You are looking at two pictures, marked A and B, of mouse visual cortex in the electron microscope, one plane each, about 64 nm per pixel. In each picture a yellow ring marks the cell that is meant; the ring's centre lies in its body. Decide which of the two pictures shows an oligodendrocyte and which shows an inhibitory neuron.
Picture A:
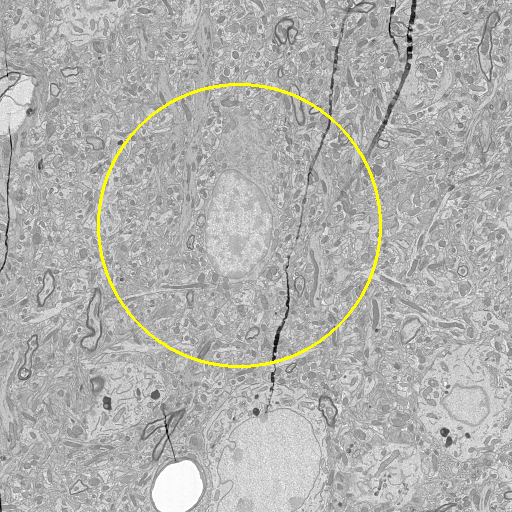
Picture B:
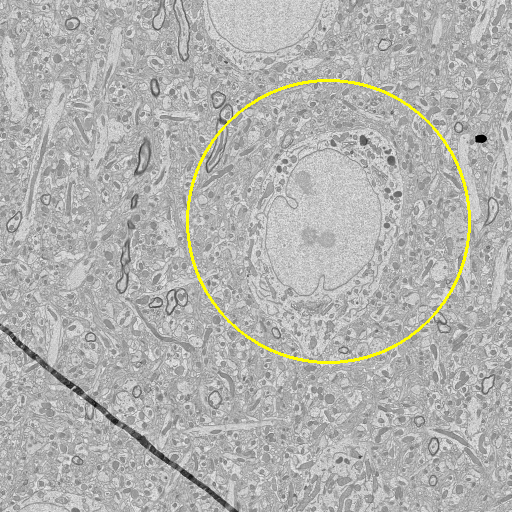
Picture A shows an oligodendrocyte and picture B shows an inhibitory neuron.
